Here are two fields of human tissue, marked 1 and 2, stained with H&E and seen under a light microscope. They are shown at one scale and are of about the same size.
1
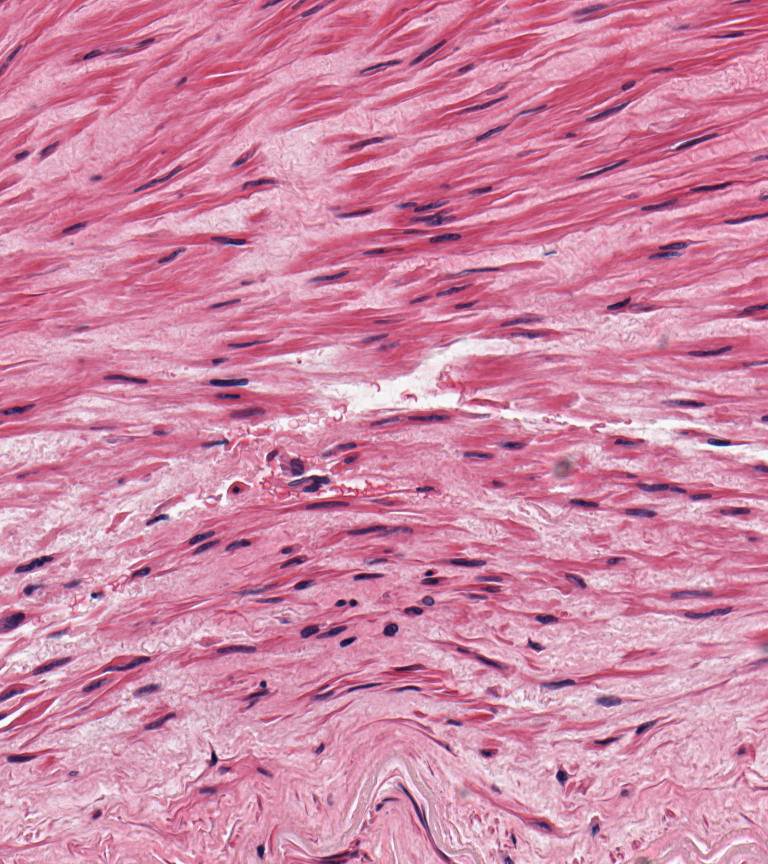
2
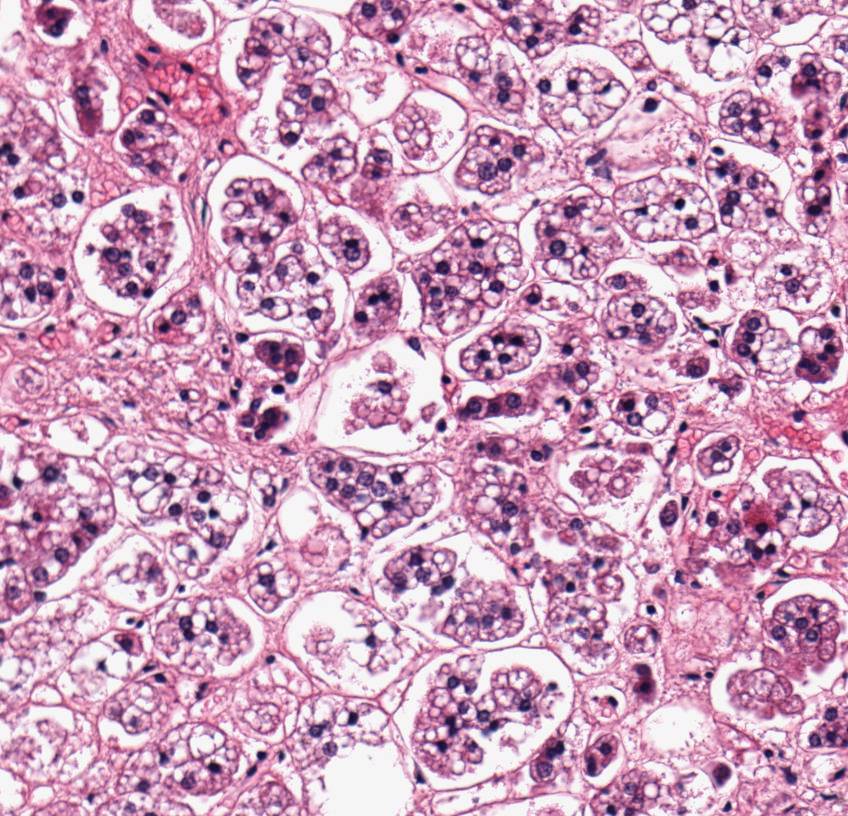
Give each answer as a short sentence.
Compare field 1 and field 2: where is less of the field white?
Less of field 1 is empty and white.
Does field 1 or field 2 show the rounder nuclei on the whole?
The nuclei are rounder in field 2.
